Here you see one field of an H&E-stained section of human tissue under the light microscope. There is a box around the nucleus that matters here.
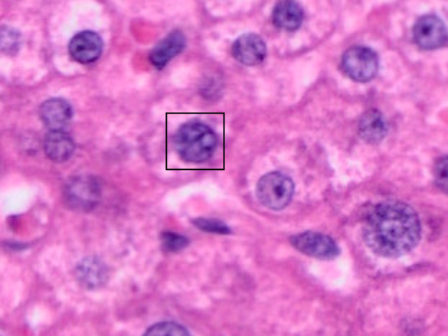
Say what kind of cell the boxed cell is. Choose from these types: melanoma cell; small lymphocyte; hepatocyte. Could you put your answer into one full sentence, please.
Cytologically, the boxed cell is to be regarded as a hepatocyte.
